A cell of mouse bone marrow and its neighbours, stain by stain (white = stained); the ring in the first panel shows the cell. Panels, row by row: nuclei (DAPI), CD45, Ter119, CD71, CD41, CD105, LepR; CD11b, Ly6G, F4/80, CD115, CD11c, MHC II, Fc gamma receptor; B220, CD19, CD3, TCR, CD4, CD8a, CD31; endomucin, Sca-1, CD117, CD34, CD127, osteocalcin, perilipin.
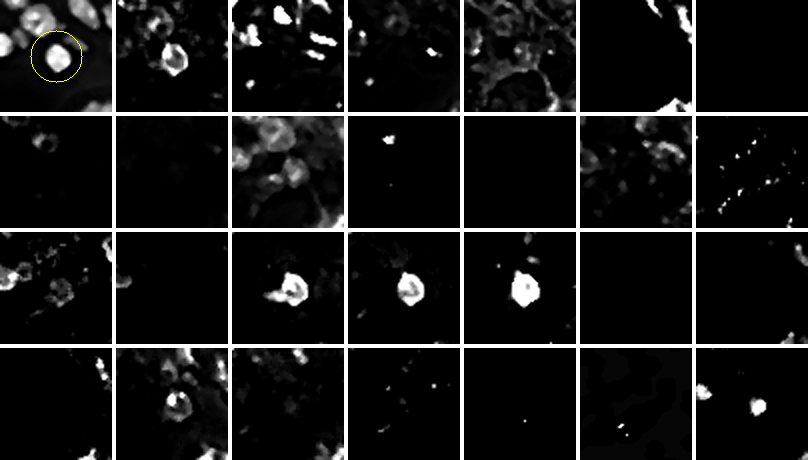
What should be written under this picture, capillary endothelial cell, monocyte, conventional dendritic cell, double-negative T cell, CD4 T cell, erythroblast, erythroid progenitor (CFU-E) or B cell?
CD4 T cell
